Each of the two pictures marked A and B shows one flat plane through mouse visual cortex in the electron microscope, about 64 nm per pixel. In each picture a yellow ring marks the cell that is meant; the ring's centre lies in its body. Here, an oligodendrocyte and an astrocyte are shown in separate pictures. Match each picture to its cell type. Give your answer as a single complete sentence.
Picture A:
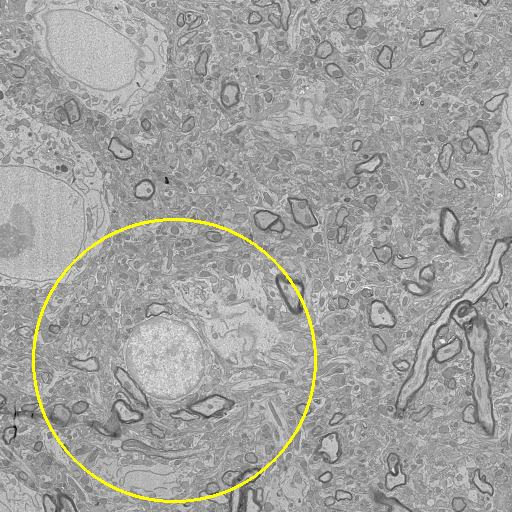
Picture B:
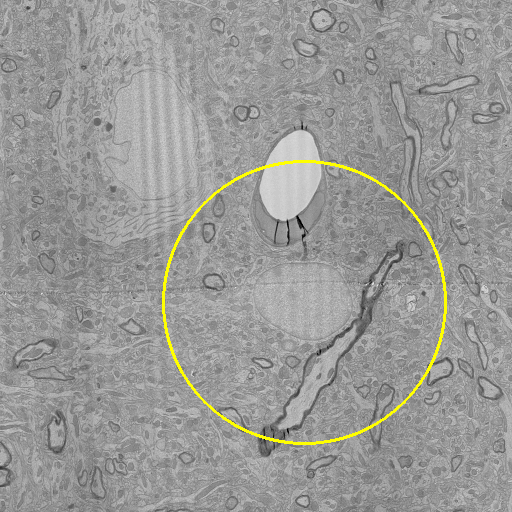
In picture A the cell is an oligodendrocyte; in picture B, an astrocyte.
